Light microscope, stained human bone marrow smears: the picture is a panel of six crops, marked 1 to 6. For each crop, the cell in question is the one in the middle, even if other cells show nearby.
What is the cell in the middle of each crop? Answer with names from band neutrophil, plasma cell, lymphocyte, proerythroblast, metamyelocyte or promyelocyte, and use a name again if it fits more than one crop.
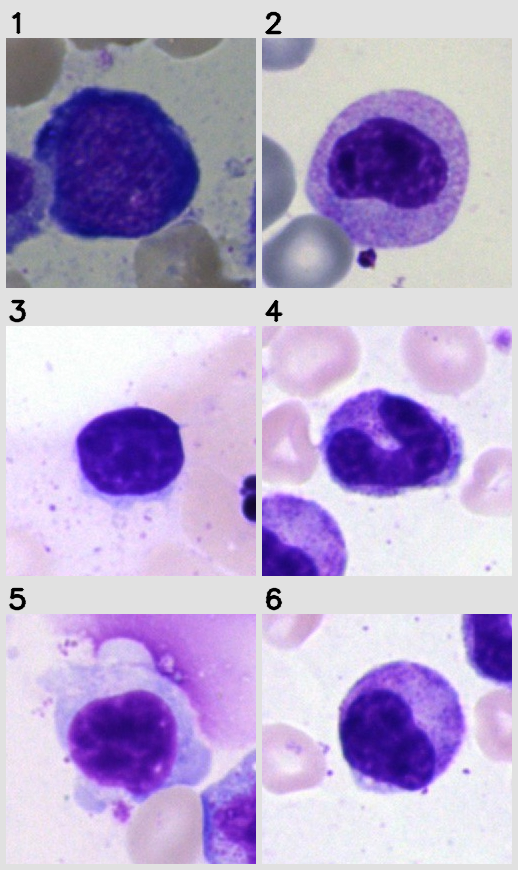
1: proerythroblast
2: metamyelocyte
3: lymphocyte
4: band neutrophil
5: lymphocyte
6: metamyelocyte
